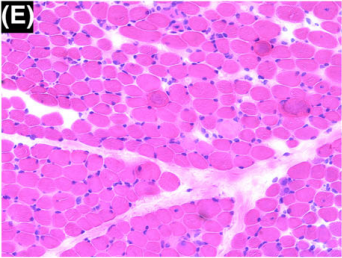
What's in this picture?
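Skeletal muscle is seen in cross-section, with pink polygonal to rounded muscle fibers packed into bundles. Fiber size varies clearly: large rounded fibers lie beside much smaller ones, some of which sit in small groups. Pale bands of connective tissue run between the bundles and in places between fibers. A few fibers stain more deeply pink than their neighbours.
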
